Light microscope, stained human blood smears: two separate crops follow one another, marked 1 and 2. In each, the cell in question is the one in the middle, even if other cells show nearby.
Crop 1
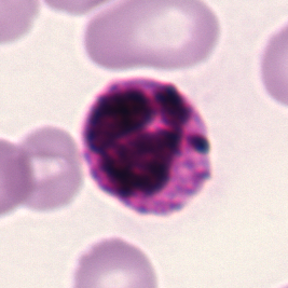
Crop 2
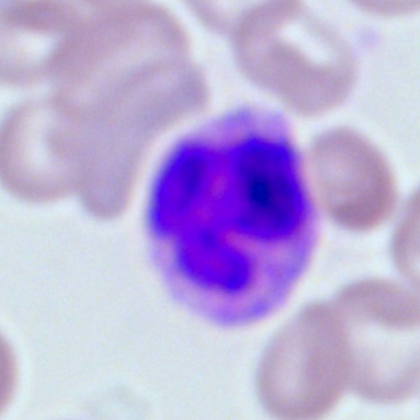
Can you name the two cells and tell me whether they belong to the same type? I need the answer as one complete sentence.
Yes, the cells at the centre of both crops are basophils.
